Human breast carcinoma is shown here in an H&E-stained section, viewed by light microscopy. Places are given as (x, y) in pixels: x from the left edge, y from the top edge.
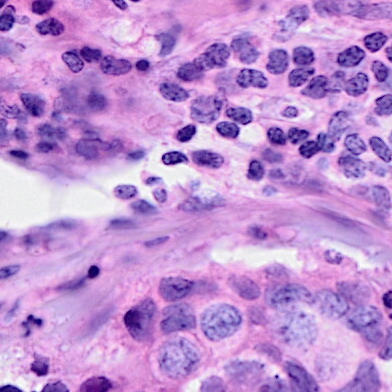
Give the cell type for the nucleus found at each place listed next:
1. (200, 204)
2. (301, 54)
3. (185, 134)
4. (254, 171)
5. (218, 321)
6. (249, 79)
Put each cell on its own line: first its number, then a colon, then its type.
1: fibroblast
2: lymphocyte
3: lymphocyte
4: lymphocyte
5: carcinoma cell
6: lymphocyte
